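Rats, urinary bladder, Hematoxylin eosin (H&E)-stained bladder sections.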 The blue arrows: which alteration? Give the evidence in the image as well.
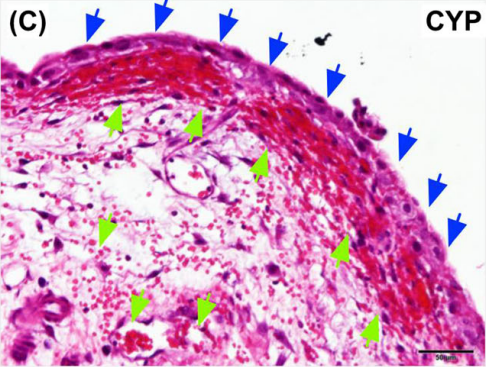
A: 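The thin epithelial layer runs along the curved outer edge of the tissue. That points to this answer: mucosal thinning.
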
